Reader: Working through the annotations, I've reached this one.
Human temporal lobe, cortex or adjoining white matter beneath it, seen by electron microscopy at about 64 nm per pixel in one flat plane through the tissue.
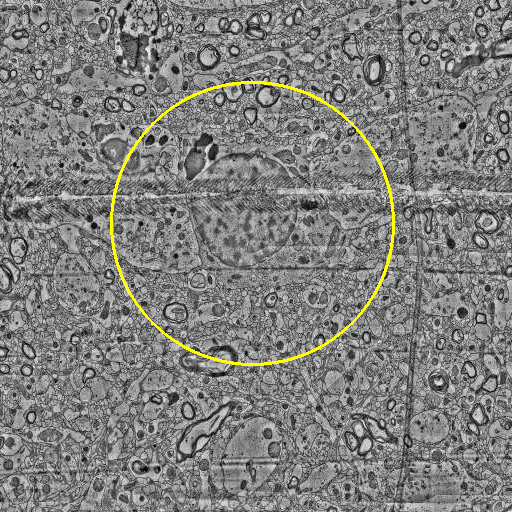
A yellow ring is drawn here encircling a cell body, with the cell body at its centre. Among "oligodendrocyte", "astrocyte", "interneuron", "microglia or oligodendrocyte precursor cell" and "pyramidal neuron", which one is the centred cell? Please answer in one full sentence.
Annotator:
The cell body at the centre of the yellow ring in this image belongs to an oligodendrocyte.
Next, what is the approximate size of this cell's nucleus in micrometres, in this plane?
In this plane the nucleus is about 8 micrometres by 7.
